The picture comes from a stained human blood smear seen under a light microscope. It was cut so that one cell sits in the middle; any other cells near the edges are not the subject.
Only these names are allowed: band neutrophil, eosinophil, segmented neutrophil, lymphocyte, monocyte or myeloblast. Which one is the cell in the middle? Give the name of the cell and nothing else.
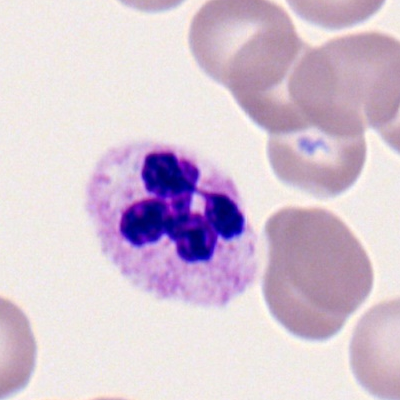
segmented neutrophil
